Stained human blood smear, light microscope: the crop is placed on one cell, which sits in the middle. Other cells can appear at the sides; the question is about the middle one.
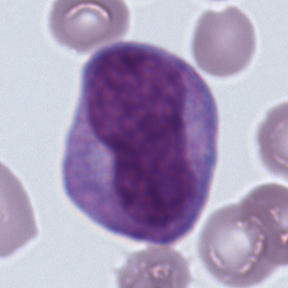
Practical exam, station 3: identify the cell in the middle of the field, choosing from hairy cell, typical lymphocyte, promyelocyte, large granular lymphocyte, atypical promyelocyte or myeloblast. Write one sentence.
The cell shown in the center of this light-microscope crop is an atypical promyelocyte.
